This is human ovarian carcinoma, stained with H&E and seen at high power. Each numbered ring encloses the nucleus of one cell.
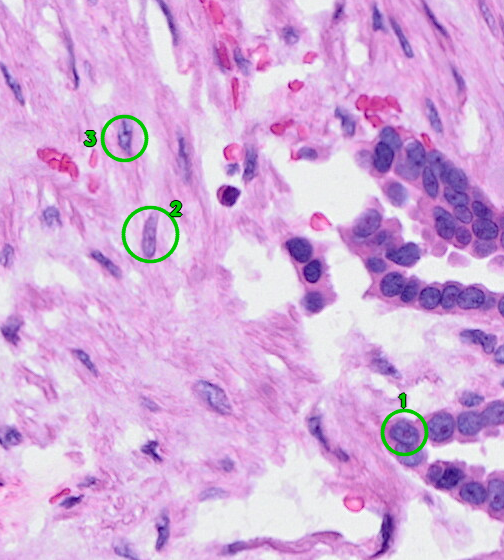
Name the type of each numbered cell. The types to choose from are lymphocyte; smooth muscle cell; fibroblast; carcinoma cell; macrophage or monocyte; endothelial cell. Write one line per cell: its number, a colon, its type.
1: carcinoma cell
2: fibroblast
3: fibroblast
